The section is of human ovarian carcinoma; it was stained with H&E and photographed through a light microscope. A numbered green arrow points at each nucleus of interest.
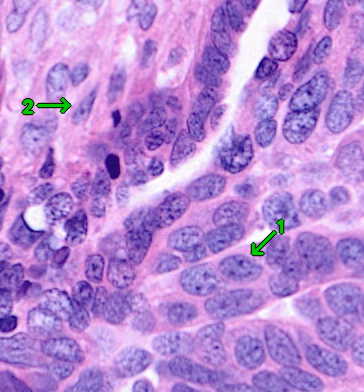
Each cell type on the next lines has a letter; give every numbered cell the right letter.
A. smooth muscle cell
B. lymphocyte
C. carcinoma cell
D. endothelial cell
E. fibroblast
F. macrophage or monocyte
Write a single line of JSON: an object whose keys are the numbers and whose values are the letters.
{"1": "C", "2": "E"}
